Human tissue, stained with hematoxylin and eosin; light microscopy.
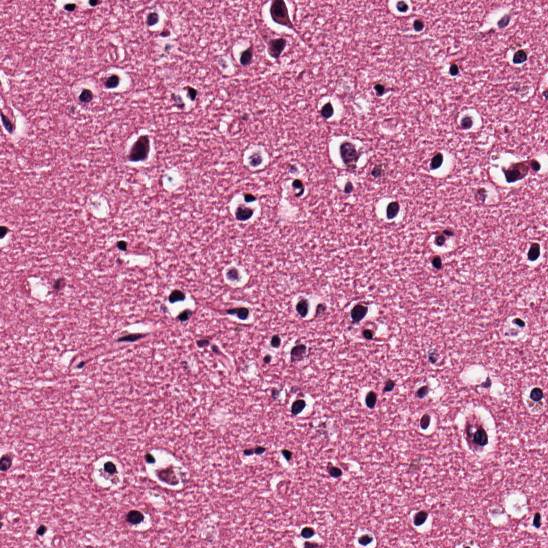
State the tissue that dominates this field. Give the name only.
cerebral cortex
